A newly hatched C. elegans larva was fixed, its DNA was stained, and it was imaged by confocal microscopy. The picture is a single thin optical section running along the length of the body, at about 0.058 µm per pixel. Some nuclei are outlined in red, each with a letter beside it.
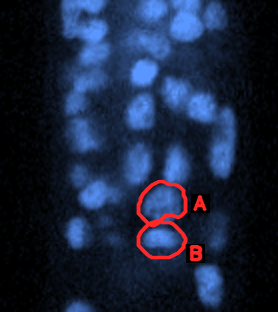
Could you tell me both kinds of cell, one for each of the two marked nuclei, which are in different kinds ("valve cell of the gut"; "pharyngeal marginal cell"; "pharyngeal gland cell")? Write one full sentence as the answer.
A is in a pharyngeal gland cell and B is in a valve cell of the gut.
